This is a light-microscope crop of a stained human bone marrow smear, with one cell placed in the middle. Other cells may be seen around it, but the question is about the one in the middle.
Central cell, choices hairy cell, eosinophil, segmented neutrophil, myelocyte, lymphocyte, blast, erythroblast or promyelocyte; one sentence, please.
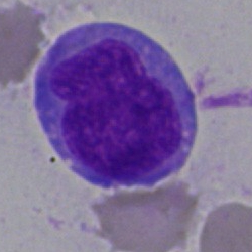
As for the cell in the middle, it is a blast.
